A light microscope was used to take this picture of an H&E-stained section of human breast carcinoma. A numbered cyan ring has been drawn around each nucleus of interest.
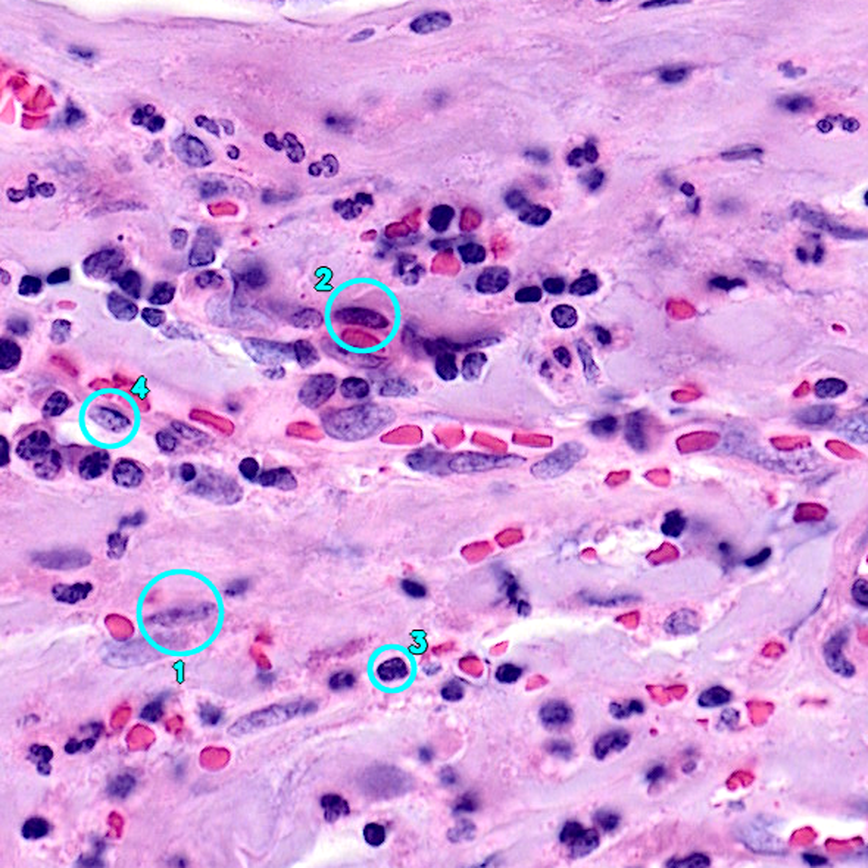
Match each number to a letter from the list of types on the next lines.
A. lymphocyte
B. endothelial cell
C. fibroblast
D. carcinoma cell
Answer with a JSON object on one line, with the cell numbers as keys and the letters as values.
{"1": "C", "2": "B", "3": "A", "4": "B"}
